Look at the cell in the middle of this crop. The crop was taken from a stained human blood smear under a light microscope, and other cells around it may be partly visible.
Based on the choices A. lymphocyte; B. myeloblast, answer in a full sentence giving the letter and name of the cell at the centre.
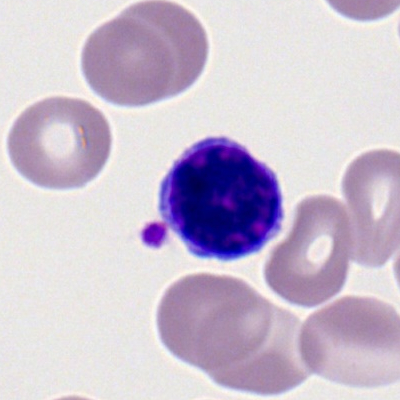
The central cell of the crop is a lymphocyte, which makes A the correct option.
